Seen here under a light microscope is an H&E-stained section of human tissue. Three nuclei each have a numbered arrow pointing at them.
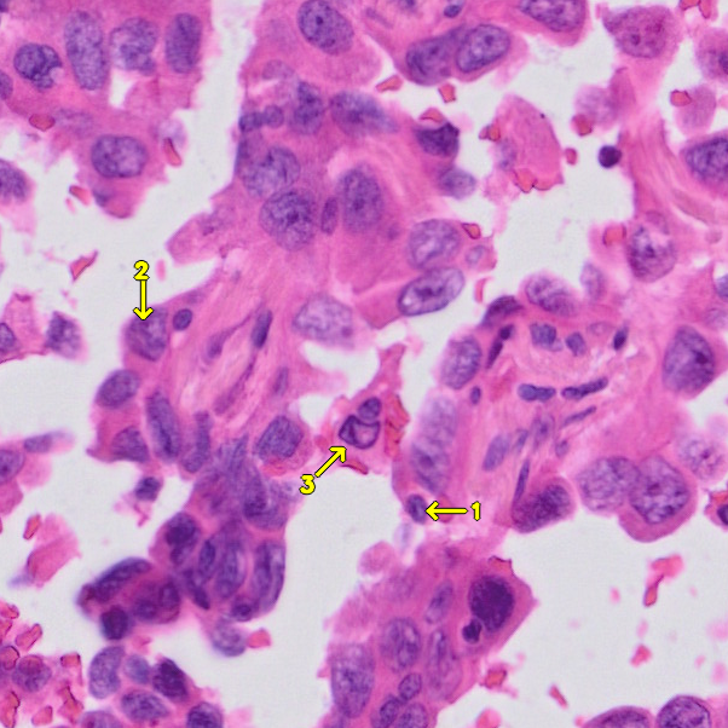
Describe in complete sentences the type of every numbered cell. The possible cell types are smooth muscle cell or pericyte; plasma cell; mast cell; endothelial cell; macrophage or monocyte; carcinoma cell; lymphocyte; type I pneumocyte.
Cell 1 is a lymphocyte. Cells 2 and 3 are carcinoma cells.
